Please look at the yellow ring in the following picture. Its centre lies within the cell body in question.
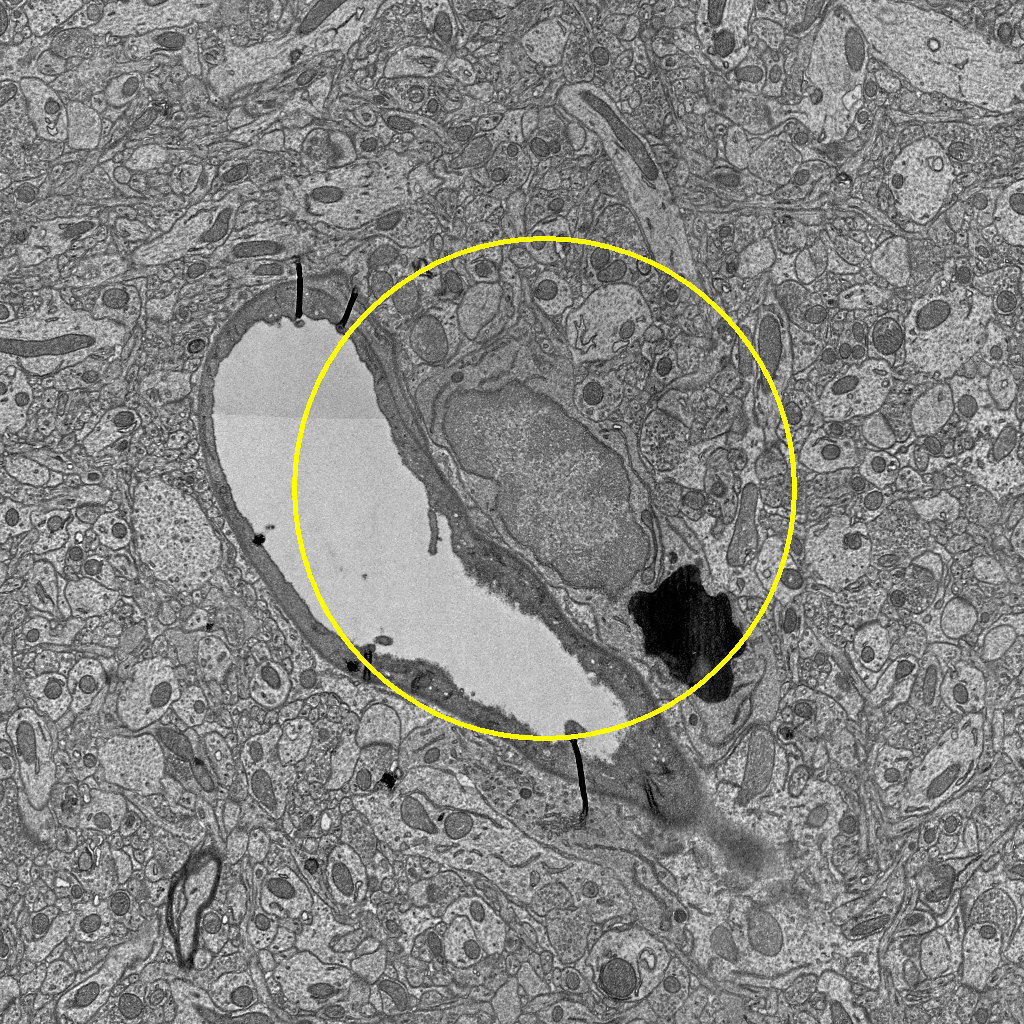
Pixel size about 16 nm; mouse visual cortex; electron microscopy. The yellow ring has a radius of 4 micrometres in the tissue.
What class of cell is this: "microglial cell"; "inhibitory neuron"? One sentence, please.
The centre of the ring lies in the cell body of a microglial cell.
